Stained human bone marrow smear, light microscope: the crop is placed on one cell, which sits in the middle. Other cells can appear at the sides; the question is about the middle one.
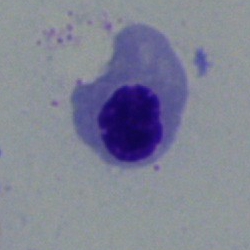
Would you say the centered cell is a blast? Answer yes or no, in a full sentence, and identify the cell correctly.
No, the central cell does not represent a blast, but an erythroblast.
